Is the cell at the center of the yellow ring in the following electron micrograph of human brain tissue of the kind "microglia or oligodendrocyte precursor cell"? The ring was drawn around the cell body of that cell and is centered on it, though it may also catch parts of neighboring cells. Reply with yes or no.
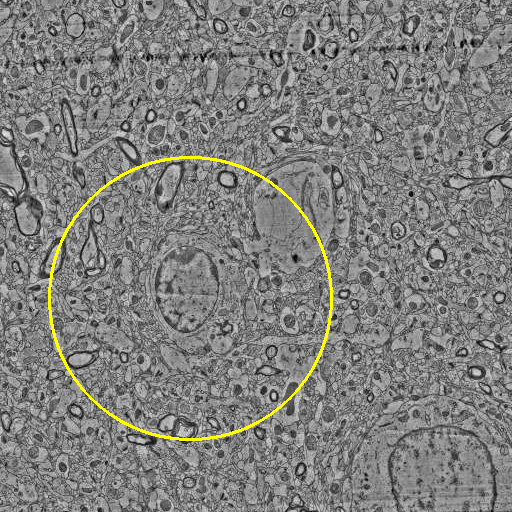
Yes, that is its kind.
